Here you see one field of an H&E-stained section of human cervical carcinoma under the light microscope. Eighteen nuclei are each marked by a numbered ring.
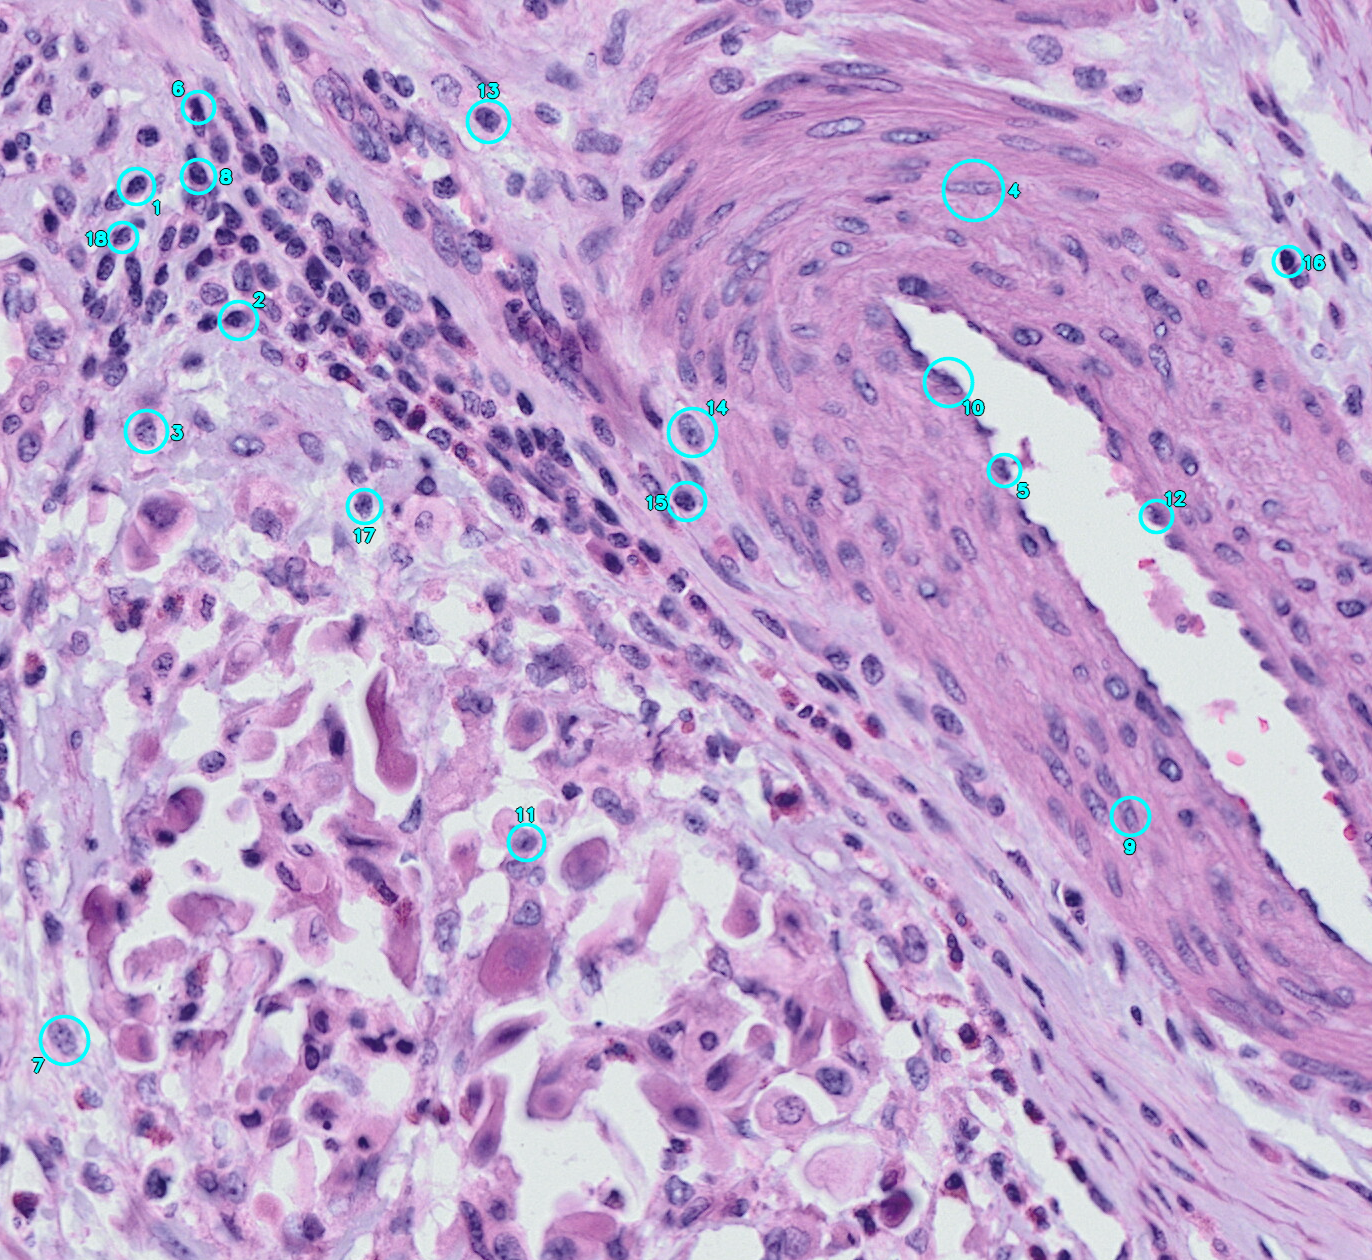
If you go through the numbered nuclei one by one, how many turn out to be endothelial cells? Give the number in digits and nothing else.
3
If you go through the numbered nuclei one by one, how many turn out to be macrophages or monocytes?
4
